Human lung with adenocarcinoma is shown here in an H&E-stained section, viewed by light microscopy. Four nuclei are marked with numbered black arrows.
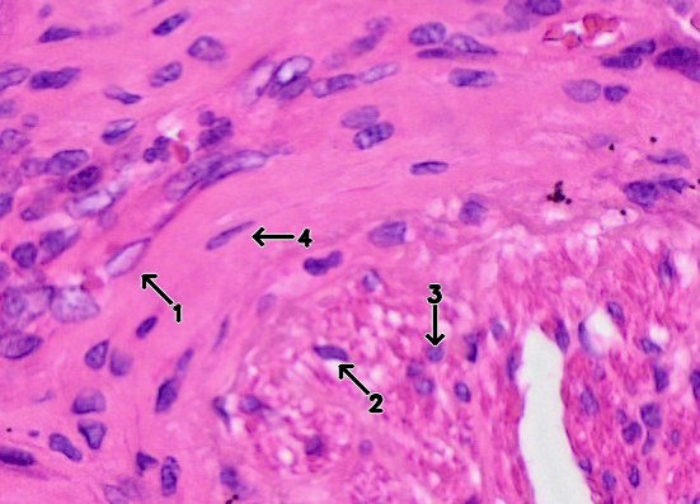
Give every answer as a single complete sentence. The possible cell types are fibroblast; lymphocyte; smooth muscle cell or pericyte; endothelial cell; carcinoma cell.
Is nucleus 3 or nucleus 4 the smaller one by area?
Number 3 is smaller, since number 4 takes up about 1.5 times as much area.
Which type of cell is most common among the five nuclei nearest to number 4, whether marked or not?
Around number 4, most of the five nearest nuclei are those of endothelial cells.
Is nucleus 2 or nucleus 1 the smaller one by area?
The smaller nucleus is 2, and 1 covers roughly 2 times its area.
